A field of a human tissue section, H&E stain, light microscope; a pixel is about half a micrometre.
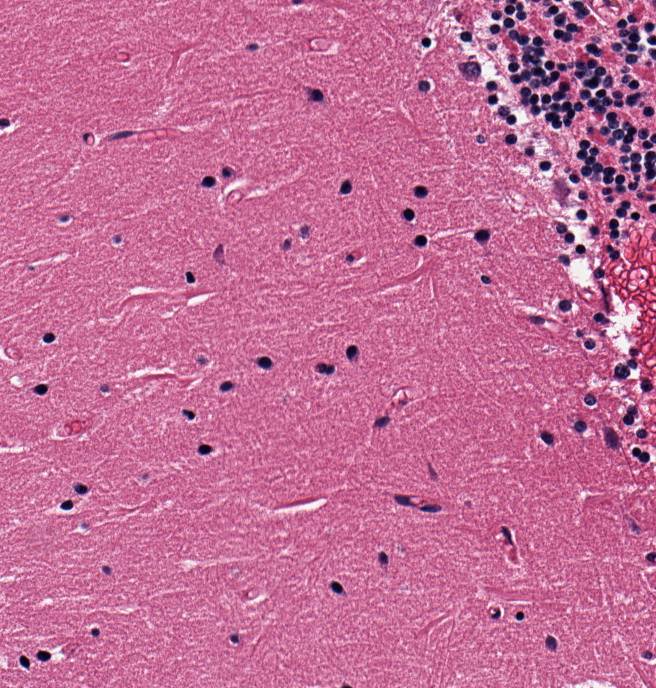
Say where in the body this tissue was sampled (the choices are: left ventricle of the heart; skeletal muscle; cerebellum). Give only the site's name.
cerebellum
